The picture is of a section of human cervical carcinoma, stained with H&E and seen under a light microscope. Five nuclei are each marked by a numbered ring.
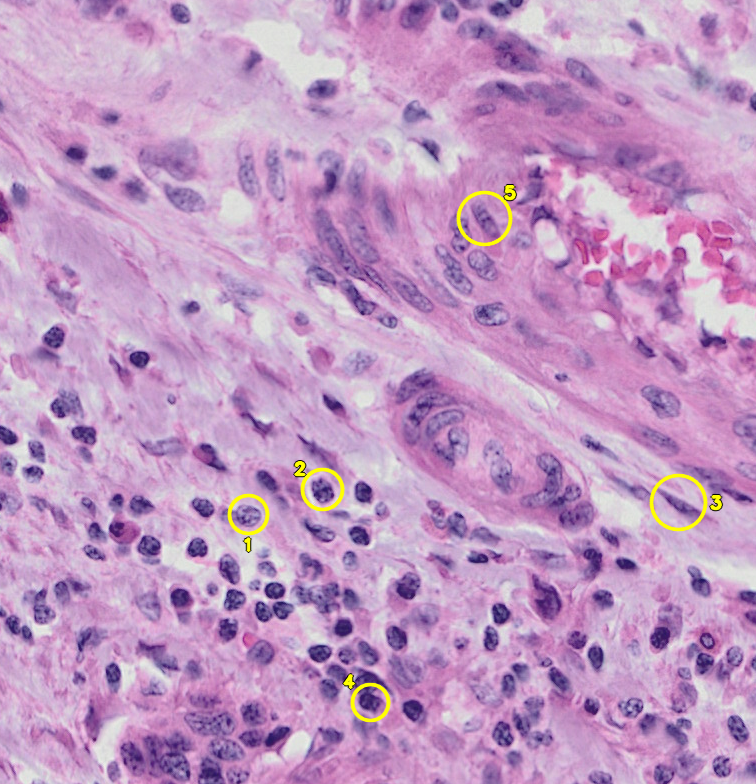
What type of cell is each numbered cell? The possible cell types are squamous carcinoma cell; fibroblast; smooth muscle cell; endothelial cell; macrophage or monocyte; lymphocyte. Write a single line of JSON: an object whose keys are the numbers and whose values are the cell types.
{"1": "macrophage or monocyte", "2": "lymphocyte", "3": "fibroblast", "4": "lymphocyte", "5": "smooth muscle cell"}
